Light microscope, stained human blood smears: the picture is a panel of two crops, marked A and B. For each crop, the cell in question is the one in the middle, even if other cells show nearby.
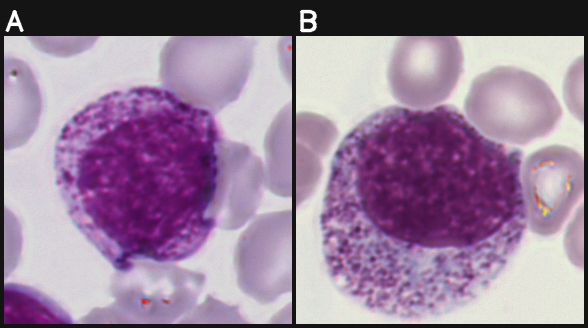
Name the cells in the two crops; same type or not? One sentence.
No, it is crop A that shows a myelocyte, and crop B shows a promyelocyte.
